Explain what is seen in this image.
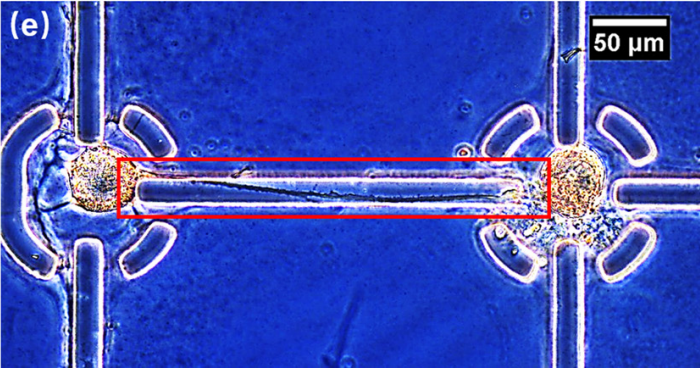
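Two large round neuron cell bodies sit at neighbouring junctions of a grid of raised straight ridges, with granular brownish cytoplasm. A thin dark neurite runs along the top of the ridge between them, joining the two cells. Scattered debris and fine processes lie around the right-hand cell body.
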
